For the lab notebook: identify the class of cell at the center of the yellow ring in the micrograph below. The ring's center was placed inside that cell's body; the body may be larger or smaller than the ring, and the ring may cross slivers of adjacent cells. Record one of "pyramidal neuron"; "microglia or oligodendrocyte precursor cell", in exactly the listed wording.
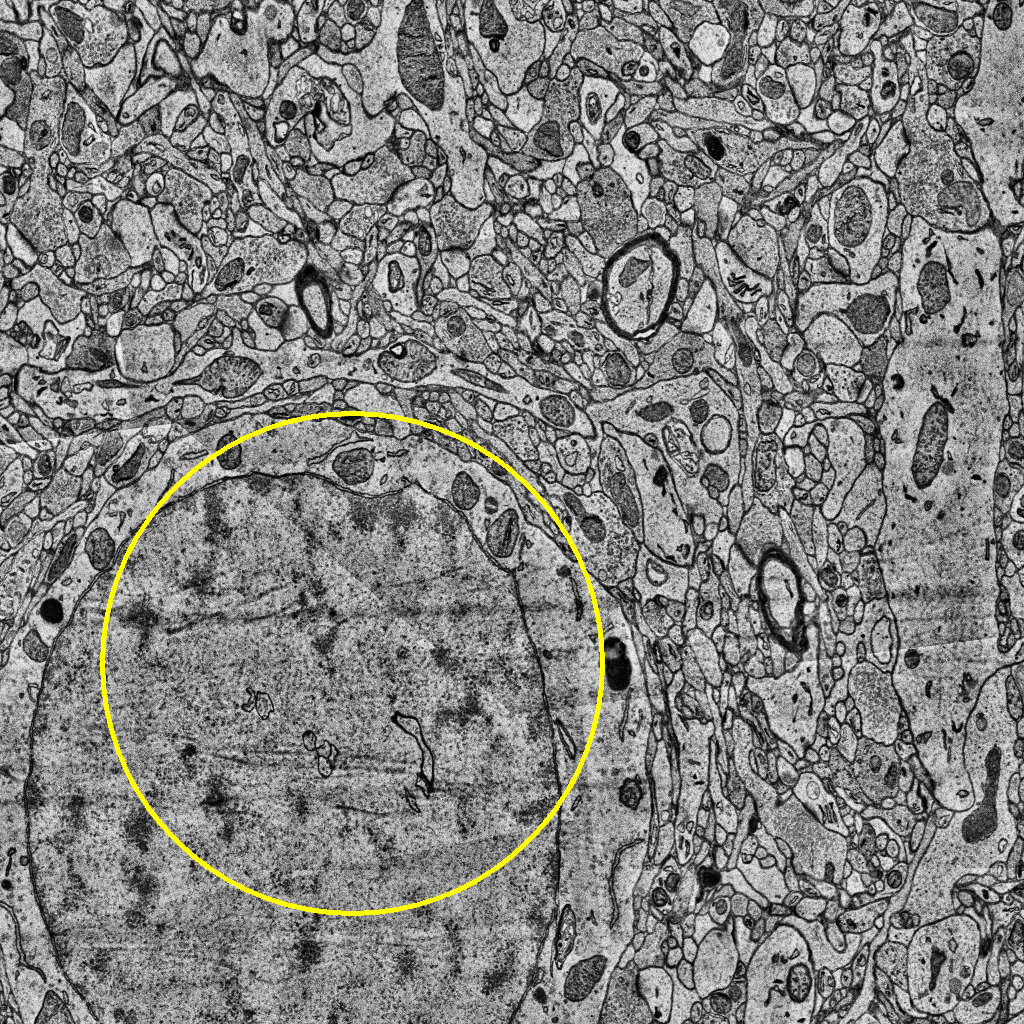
pyramidal neuron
